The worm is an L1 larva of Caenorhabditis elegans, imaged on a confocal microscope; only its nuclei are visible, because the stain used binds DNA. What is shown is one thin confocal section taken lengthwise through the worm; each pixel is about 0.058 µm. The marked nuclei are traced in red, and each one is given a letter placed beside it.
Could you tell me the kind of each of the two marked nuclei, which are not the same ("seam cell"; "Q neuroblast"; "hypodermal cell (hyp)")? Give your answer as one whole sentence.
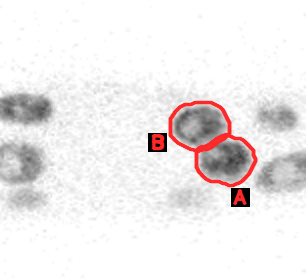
The nucleus A is that of a Q neuroblast, while B is that of a seam cell.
